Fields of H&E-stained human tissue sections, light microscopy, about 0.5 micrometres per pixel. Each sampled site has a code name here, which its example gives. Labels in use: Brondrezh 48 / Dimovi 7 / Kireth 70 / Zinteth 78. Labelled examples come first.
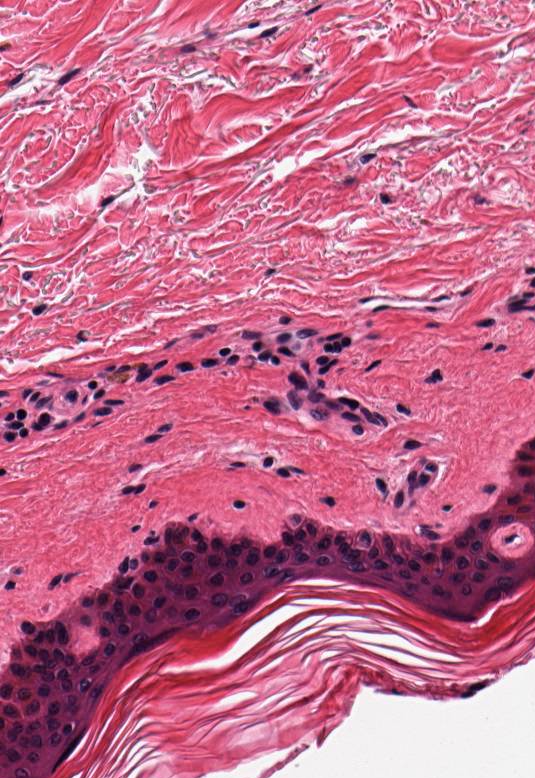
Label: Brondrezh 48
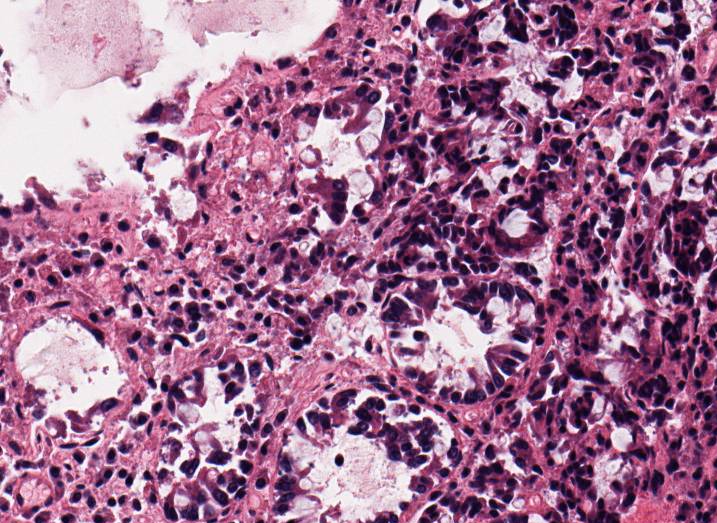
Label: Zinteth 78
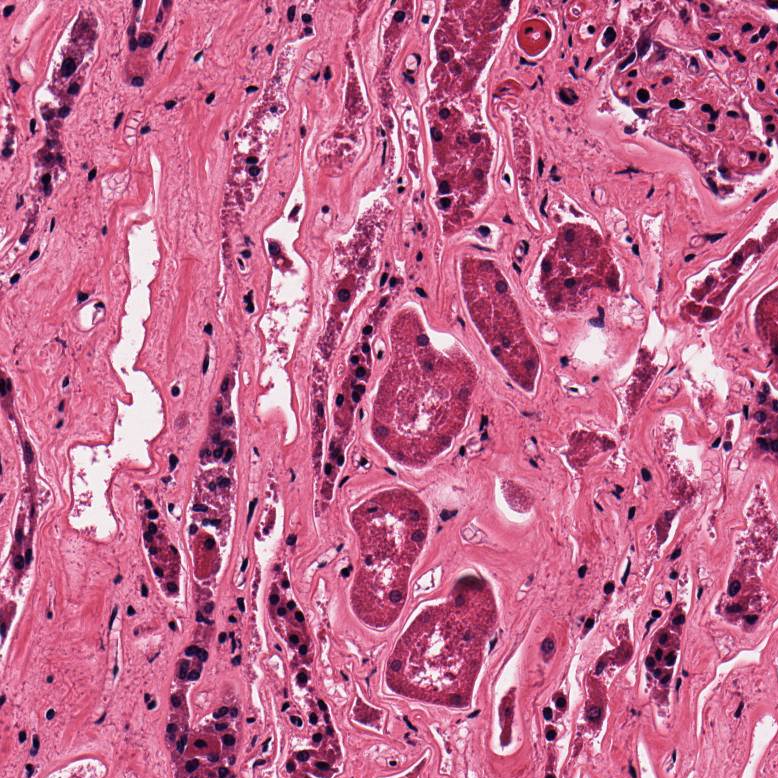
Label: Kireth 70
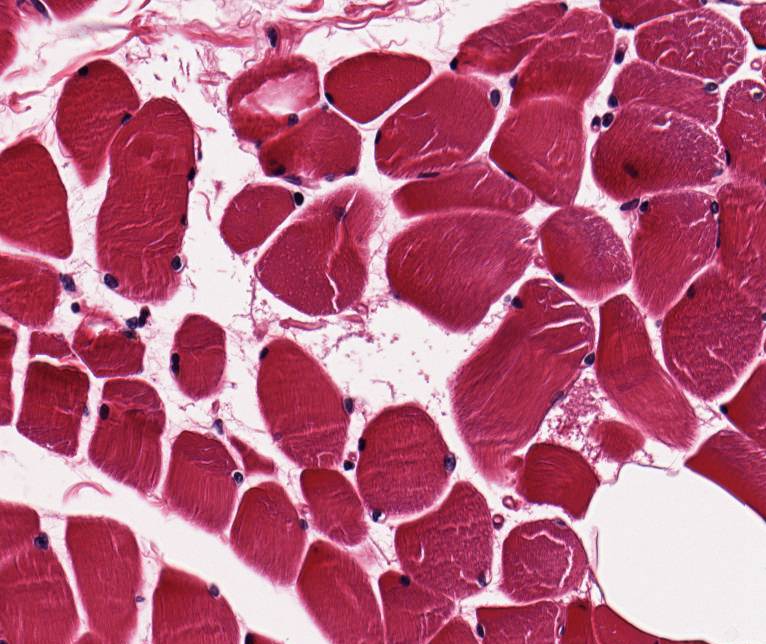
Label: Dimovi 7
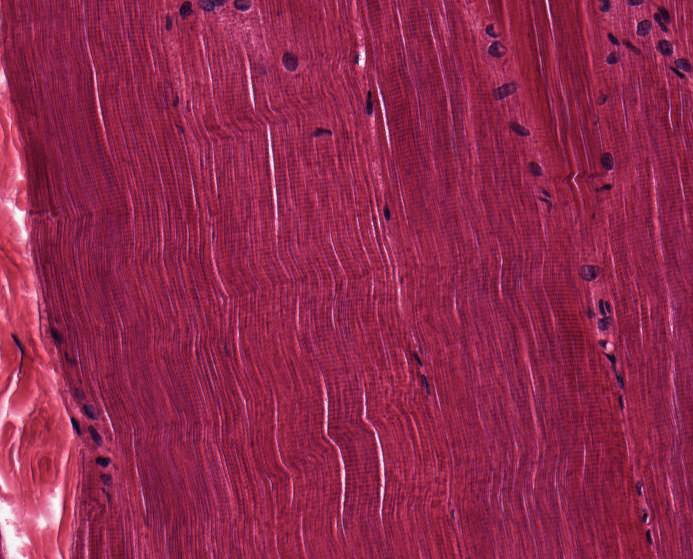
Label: Dimovi 7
